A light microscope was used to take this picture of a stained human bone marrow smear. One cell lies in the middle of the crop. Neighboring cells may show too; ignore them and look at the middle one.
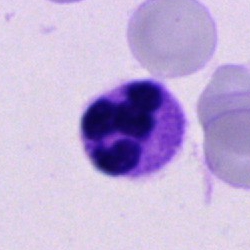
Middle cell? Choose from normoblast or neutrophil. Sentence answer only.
The single cell at the center of the crop is a neutrophil.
